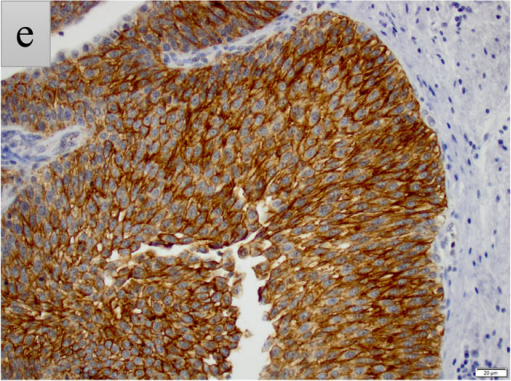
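A broad, uniform sheet of crowded tumour cells is shown, with a slit-like lumen in its lower part and loose pale stroma with scattered spindle cells along the right edge. The tumour cells have oval, bluish nuclei that are aligned in a similar direction, and their borders and cytoplasm are evenly outlined by strong brown stain, while the stroma stays unstained.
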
